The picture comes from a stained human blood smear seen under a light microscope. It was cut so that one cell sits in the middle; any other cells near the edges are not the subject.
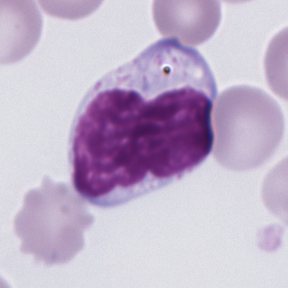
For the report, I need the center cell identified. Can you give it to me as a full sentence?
Within this crop, a large granular lymphocyte occupies the central position.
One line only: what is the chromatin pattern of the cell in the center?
Thanks for asking; the chromatin is coarsely clumped.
